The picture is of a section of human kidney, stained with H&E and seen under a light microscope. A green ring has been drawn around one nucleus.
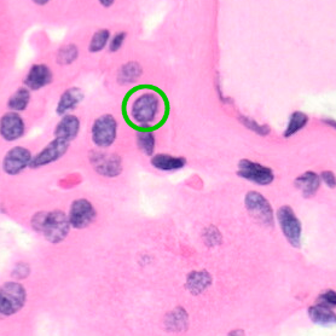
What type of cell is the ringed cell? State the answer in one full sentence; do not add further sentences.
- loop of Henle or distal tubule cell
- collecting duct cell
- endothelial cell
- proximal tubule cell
The cell type of the ringed cell is that of a collecting duct cell.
